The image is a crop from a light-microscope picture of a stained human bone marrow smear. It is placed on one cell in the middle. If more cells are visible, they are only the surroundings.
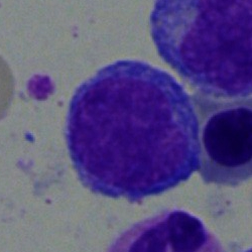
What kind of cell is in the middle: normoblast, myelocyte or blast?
blast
